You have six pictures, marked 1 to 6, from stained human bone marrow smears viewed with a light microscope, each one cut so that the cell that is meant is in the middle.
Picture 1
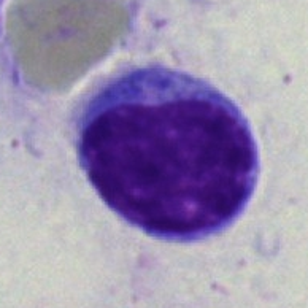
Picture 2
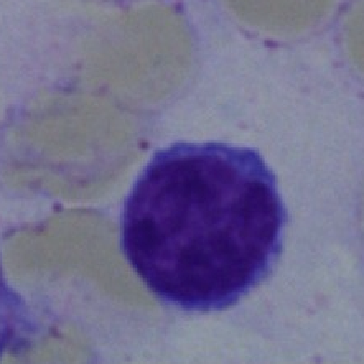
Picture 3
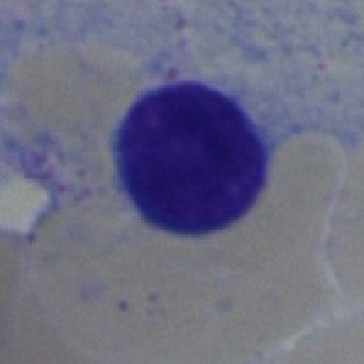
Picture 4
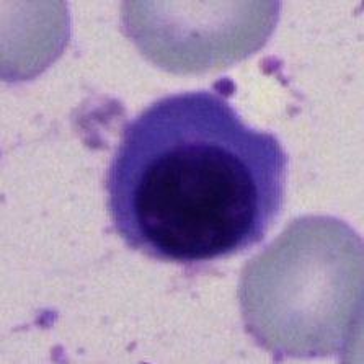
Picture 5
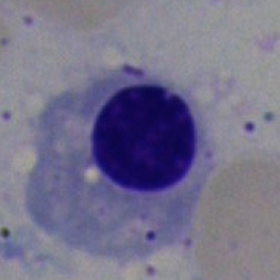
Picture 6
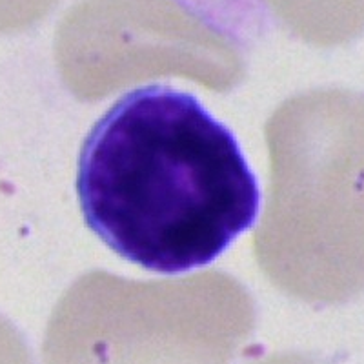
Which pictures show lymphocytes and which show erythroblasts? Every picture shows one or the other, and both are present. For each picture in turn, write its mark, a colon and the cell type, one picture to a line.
1: lymphocyte
2: lymphocyte
3: lymphocyte
4: erythroblast
5: erythroblast
6: lymphocyte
